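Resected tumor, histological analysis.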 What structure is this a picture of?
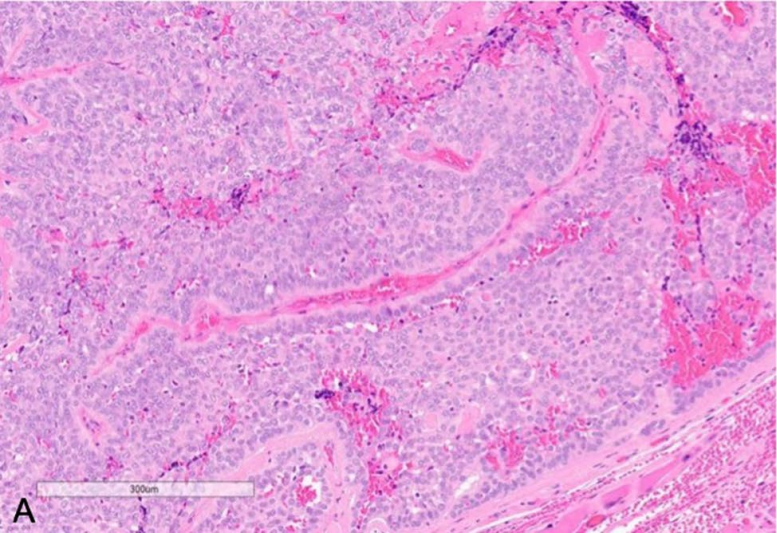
Intervening fibrous stroma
